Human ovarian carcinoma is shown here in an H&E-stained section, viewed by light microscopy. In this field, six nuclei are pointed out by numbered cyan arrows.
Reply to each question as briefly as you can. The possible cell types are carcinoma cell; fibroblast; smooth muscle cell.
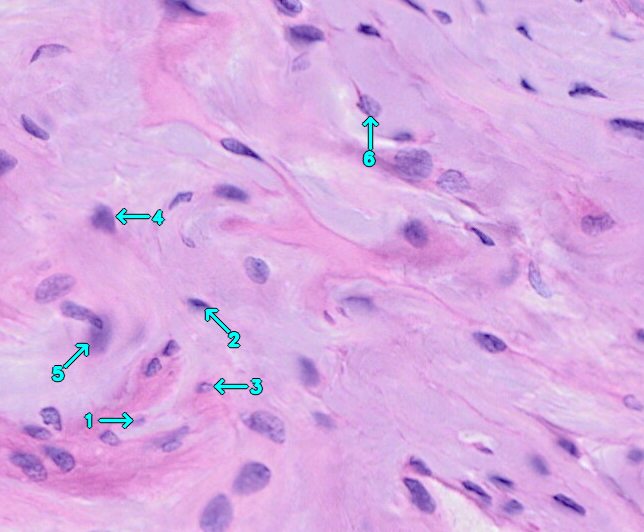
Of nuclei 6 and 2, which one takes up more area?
6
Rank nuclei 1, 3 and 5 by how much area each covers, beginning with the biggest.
5, 3, 1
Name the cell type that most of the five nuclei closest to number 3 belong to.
smooth muscle cell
